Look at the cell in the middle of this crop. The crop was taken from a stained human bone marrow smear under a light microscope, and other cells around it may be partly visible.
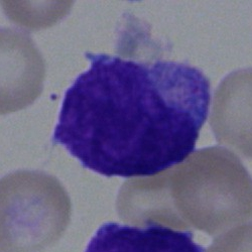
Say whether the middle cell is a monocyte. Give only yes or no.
no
